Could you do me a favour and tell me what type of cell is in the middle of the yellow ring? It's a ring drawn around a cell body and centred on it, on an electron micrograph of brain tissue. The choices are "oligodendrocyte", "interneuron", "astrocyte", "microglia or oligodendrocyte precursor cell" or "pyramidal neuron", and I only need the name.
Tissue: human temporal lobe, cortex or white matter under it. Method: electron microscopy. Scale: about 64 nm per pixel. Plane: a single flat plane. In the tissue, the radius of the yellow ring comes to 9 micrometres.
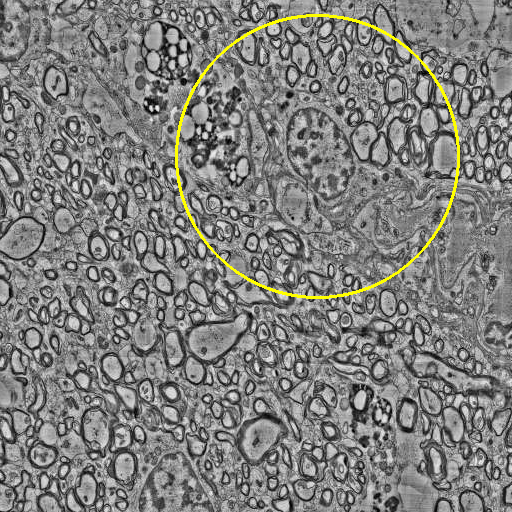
oligodendrocyte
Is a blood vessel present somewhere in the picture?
Yes.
